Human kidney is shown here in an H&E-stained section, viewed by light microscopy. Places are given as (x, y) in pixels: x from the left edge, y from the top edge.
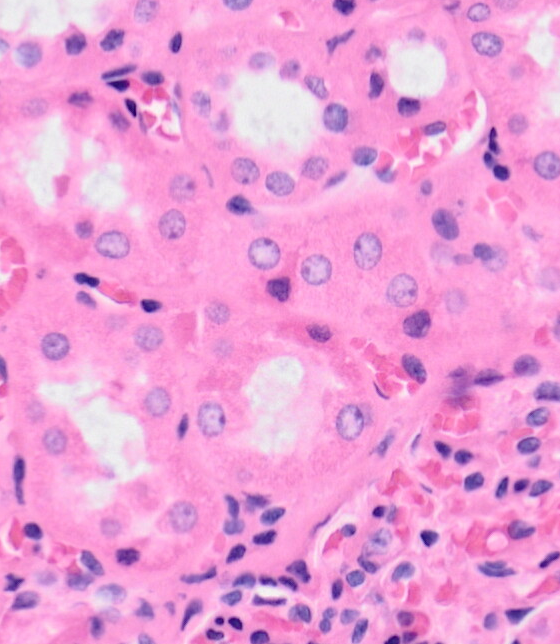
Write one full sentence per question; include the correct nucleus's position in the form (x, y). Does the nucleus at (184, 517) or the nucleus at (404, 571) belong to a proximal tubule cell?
That would be the nucleus at (184, 517); it belongs to a proximal tubule cell.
